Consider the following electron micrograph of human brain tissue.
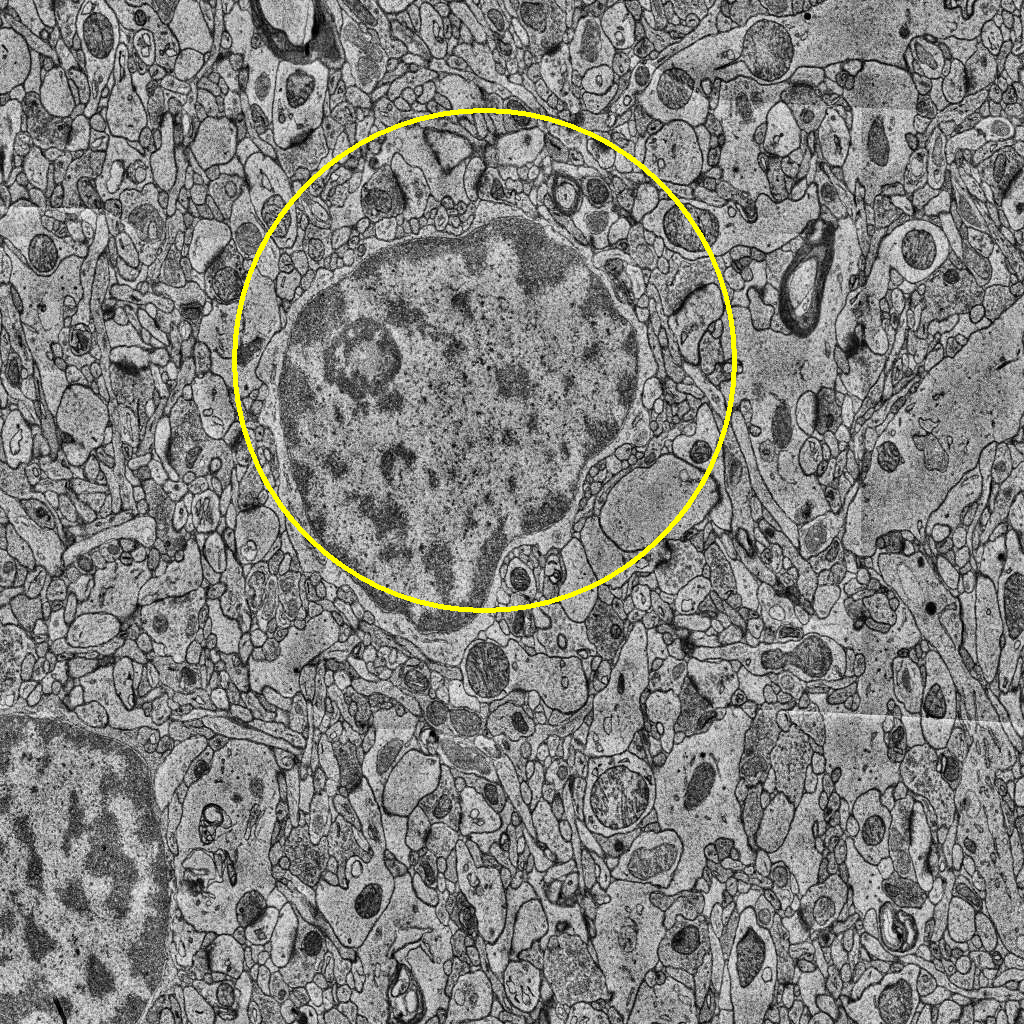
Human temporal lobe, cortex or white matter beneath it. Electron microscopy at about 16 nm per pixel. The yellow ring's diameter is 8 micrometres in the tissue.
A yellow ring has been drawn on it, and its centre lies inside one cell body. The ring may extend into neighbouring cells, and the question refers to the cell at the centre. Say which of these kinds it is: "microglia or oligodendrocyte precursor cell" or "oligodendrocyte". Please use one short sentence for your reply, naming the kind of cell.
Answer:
The centre of the ring falls on a microglial cell or oligodendrocyte precursor cell.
